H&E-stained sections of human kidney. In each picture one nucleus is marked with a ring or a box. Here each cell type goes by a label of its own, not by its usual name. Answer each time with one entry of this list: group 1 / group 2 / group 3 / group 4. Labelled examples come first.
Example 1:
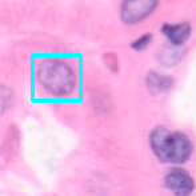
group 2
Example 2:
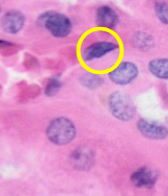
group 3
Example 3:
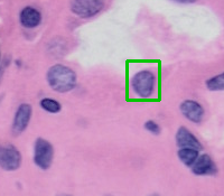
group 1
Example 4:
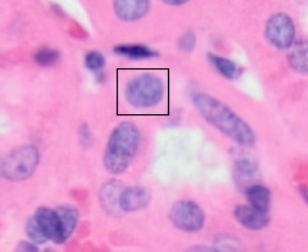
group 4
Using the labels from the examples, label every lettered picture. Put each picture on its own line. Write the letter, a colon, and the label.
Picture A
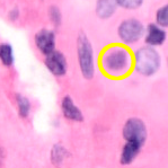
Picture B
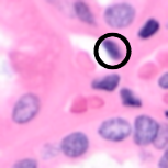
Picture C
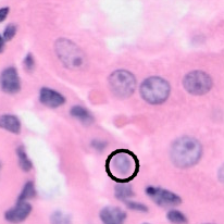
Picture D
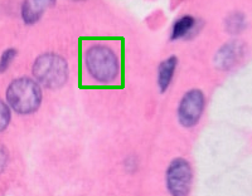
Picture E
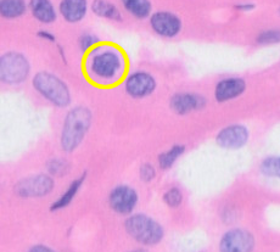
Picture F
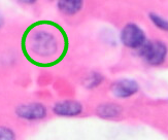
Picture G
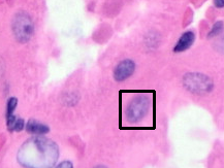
A: group 4
B: group 3
C: group 4
D: group 2
E: group 4
F: group 1
G: group 2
